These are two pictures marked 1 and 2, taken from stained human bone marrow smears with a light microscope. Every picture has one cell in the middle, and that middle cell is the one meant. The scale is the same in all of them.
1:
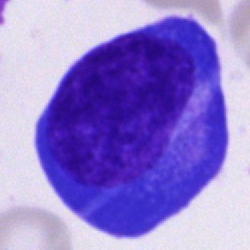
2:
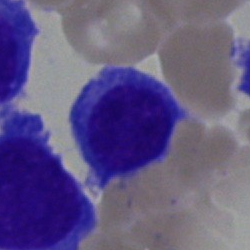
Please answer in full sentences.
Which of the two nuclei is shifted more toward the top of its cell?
The nucleus in crop 1 lies further toward the top of its cell.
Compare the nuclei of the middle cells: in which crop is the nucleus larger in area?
Crop 1 shows the larger nucleus; it covers about 2.5 times the area of the nucleus in crop 2.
